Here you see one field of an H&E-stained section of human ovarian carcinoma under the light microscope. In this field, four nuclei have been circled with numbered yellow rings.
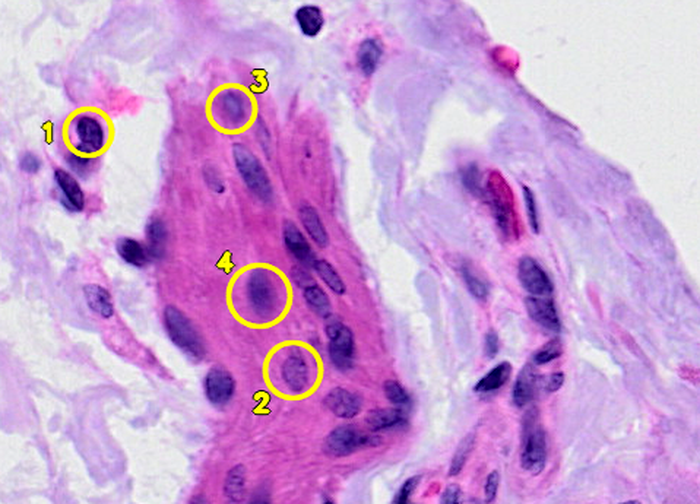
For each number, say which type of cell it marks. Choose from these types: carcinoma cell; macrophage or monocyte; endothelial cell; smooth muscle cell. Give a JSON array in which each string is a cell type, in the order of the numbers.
["endothelial cell", "smooth muscle cell", "smooth muscle cell", "smooth muscle cell"]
